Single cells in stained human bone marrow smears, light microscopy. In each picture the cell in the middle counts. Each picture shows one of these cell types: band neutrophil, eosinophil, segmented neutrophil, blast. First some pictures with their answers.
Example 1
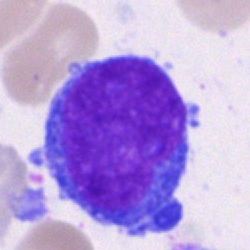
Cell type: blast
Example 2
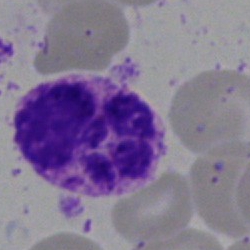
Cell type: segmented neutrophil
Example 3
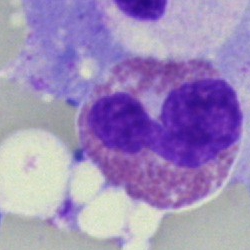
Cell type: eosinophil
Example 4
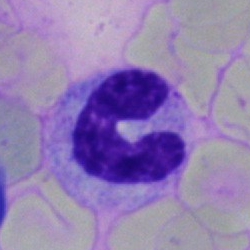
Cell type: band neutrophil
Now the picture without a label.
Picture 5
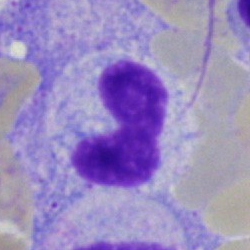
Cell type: band neutrophil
